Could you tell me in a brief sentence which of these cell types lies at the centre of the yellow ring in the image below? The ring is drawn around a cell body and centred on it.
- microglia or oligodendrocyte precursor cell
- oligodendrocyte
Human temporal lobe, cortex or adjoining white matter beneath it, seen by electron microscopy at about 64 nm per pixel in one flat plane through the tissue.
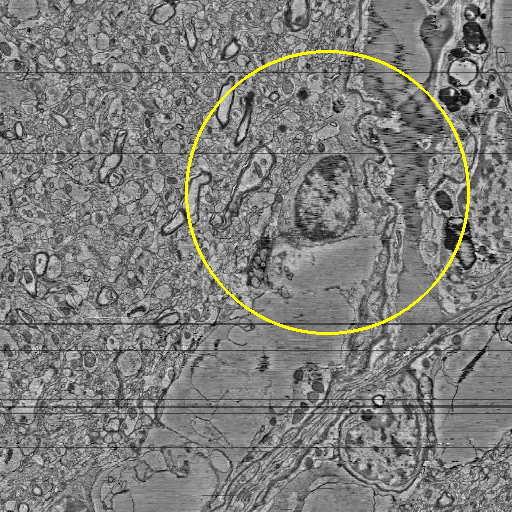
The cell centred in the ring is an oligodendrocyte.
